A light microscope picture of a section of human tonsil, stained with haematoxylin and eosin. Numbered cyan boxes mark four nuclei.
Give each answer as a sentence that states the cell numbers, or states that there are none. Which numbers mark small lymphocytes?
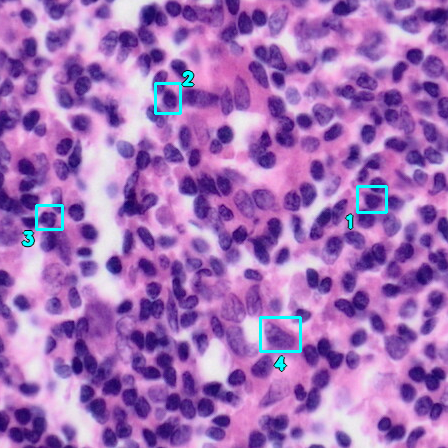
The cells tagged with numbers 1, 2 and 3 are small lymphocytes.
